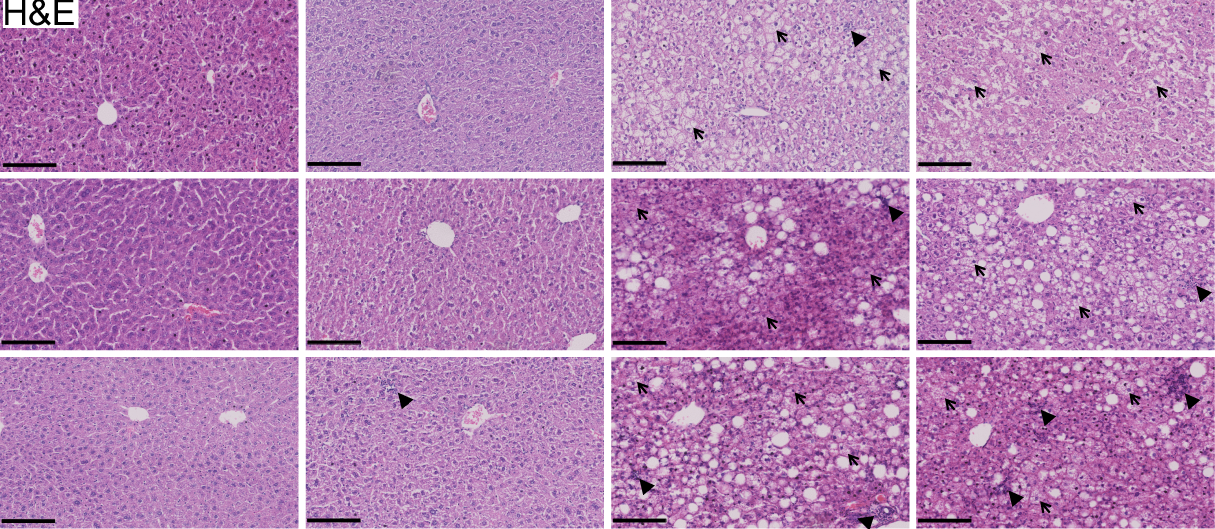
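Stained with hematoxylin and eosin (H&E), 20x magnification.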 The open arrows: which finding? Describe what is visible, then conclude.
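The open arrows point at enlarged, pale hepatocytes in the vacuolated tissue. So: hepatocyte ballooning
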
